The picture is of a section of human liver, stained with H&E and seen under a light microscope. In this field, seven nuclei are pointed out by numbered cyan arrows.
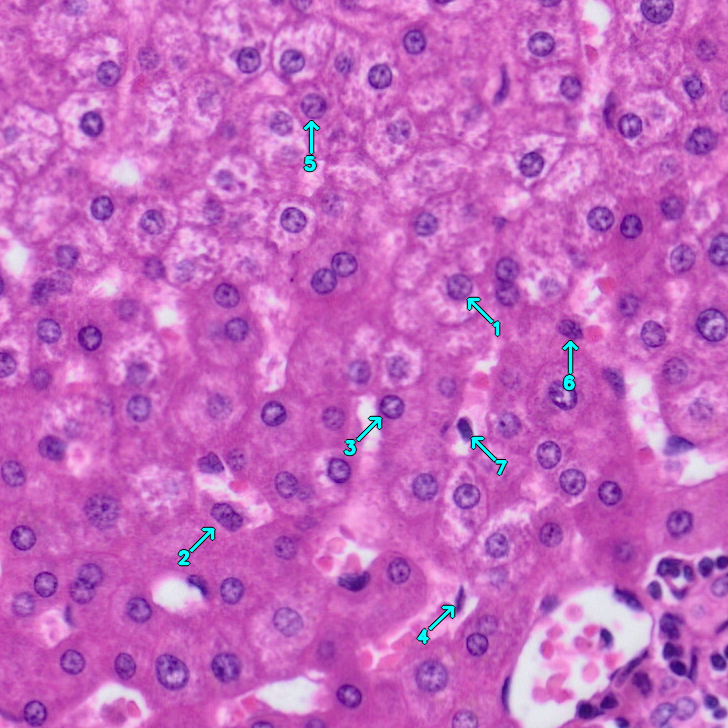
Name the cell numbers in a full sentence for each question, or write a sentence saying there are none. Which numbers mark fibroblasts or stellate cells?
Cell 6 is a fibroblast or stellate cell; every other numbered cell is something else.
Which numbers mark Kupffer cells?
Only the cell with number 2 is a Kupffer cell.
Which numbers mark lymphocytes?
Exactly one numbered cell is a lymphocyte, and that cell is number 7.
